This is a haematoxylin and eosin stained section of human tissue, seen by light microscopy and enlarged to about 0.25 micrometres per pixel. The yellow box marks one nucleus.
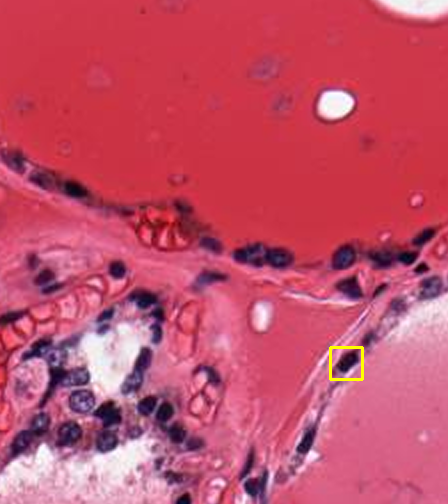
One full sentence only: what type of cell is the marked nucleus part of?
The marked nucleus is a nucleus of a thyroid follicular cell.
